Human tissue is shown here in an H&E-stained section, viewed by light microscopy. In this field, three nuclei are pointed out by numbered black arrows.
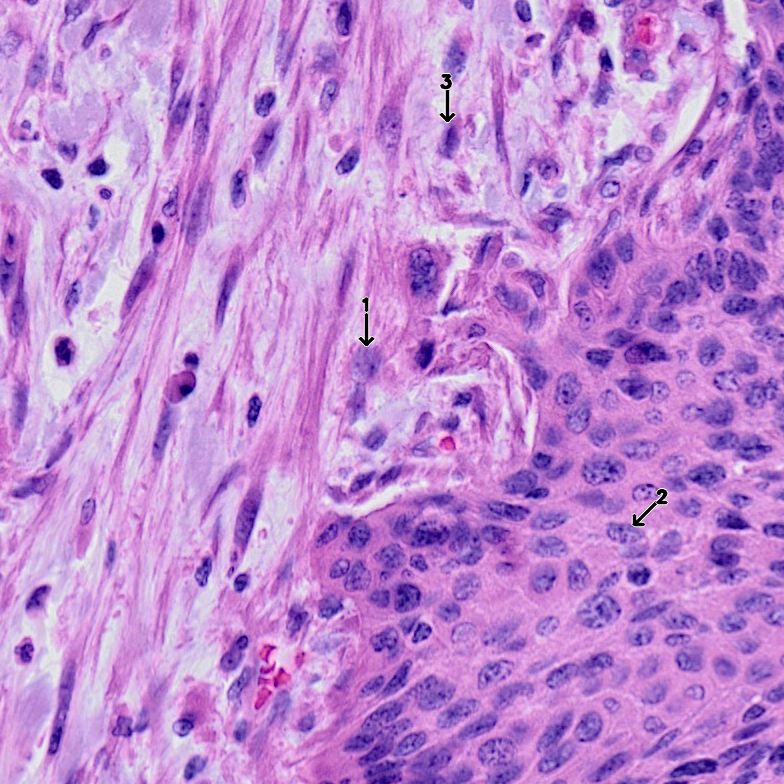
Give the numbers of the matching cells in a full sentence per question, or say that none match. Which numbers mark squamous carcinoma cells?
Only the cell with the number 2 is a squamous carcinoma cell.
